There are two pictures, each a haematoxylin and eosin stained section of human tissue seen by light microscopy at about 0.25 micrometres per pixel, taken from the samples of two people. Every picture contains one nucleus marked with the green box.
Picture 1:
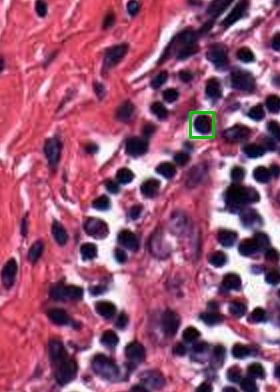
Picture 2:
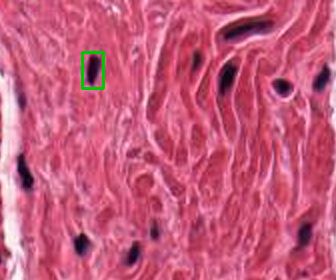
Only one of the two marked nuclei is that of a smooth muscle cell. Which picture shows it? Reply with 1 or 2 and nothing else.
2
